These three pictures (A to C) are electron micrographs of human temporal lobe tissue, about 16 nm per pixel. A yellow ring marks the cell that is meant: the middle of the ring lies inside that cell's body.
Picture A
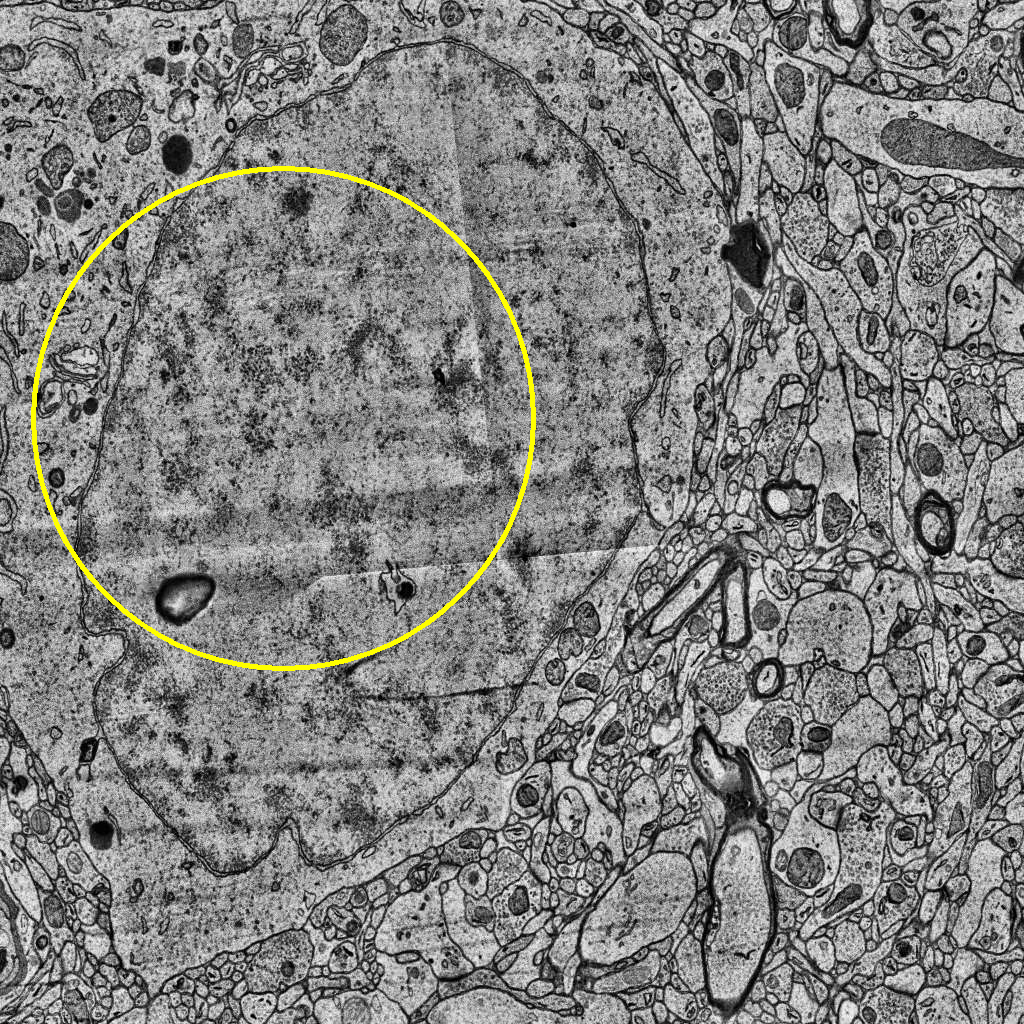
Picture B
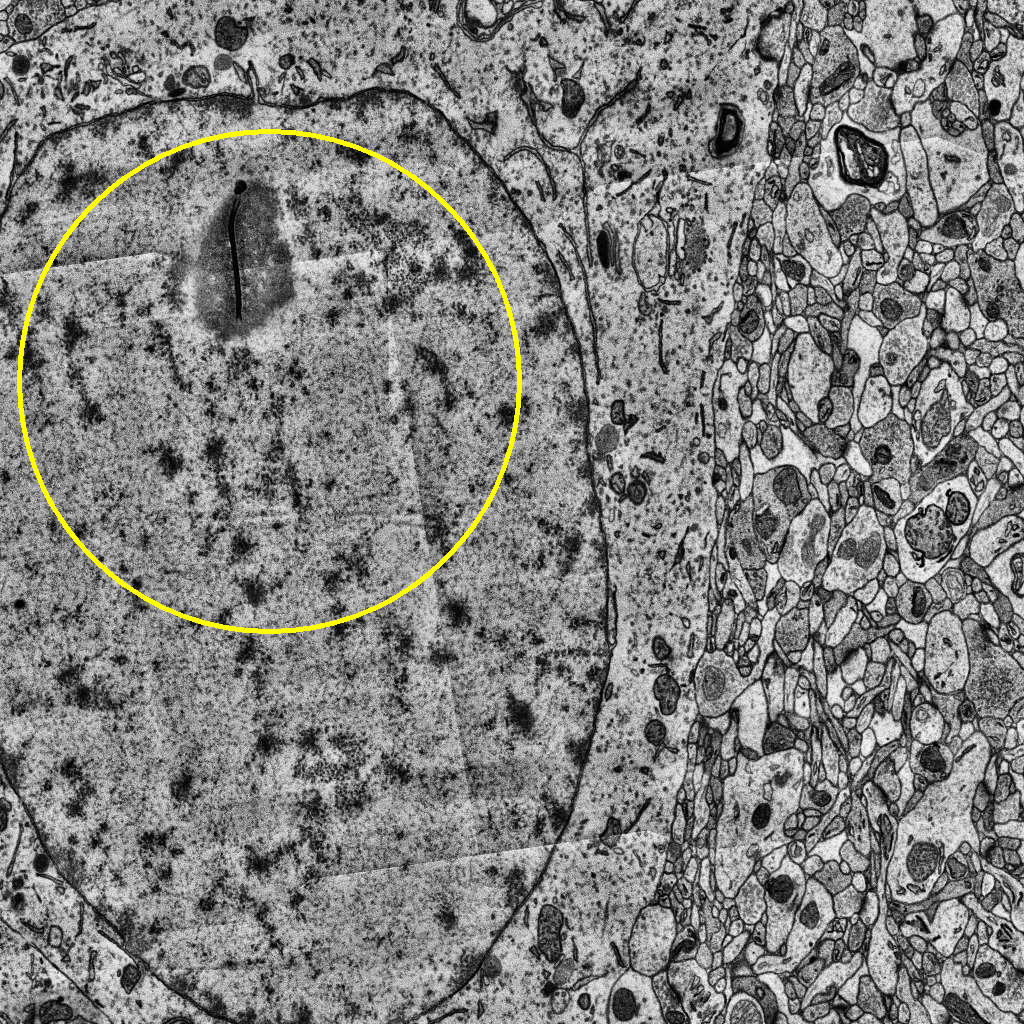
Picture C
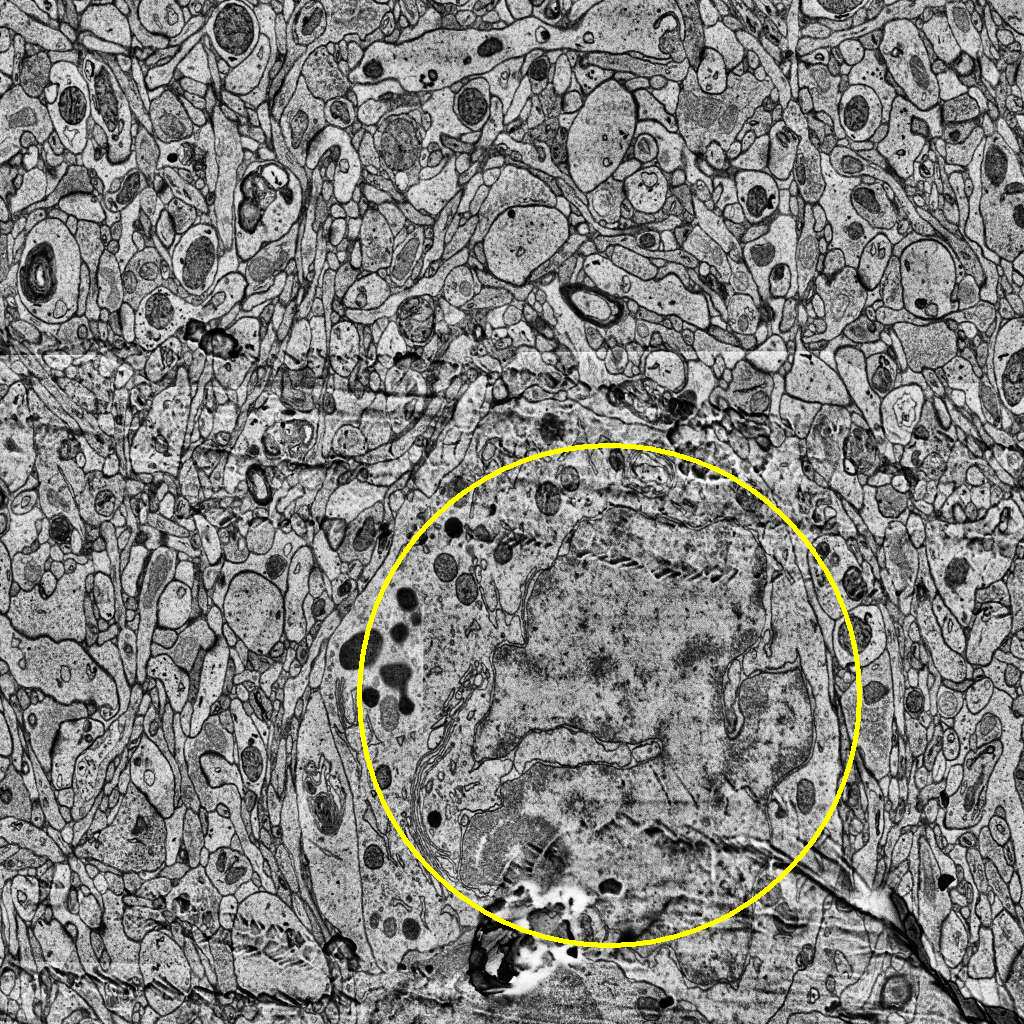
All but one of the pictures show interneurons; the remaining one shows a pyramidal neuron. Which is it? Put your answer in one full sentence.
It is picture B that shows the pyramidal neuron.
